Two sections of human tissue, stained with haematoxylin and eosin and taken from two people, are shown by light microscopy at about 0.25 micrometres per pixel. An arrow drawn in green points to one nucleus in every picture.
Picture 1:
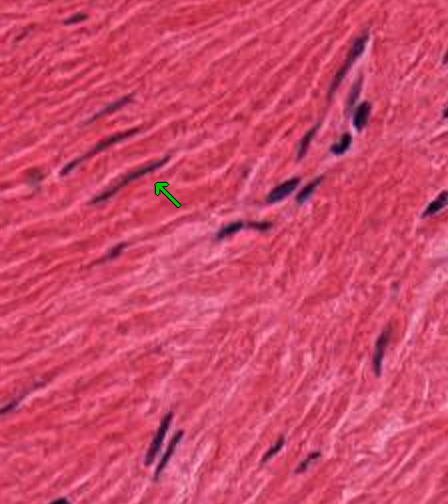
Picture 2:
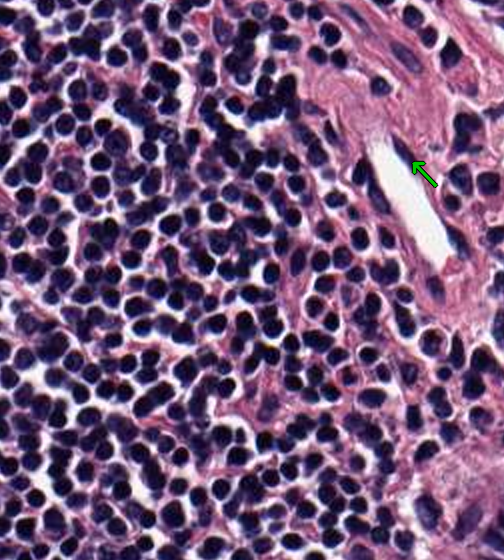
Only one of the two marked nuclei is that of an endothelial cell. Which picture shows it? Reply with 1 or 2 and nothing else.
2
